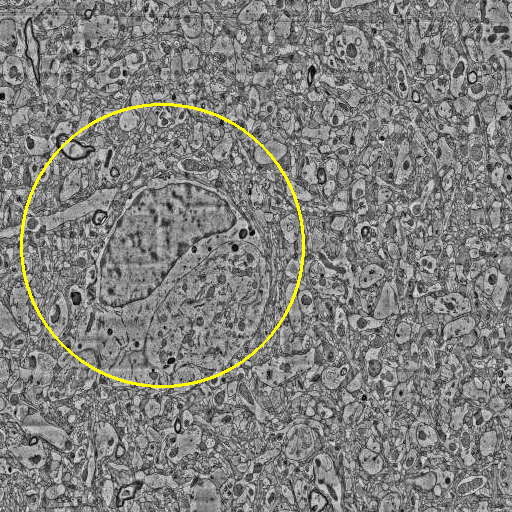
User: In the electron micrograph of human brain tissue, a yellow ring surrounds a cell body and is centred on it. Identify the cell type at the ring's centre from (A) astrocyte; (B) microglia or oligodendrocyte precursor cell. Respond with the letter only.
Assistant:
B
